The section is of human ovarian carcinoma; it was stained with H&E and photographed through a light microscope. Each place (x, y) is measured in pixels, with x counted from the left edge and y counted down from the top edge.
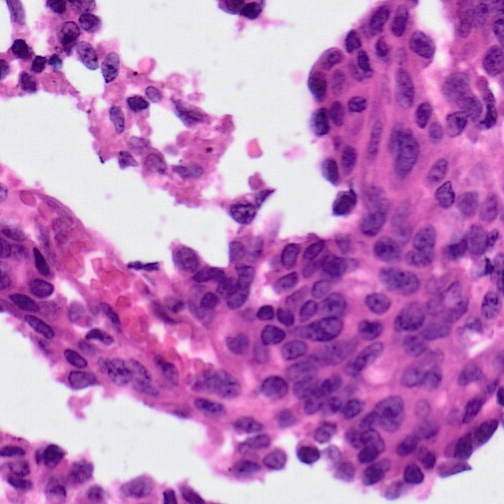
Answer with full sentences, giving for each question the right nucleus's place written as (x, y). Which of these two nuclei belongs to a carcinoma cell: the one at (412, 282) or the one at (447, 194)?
It is the nucleus at (412, 282), not the other one, that belongs to a carcinoma cell.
